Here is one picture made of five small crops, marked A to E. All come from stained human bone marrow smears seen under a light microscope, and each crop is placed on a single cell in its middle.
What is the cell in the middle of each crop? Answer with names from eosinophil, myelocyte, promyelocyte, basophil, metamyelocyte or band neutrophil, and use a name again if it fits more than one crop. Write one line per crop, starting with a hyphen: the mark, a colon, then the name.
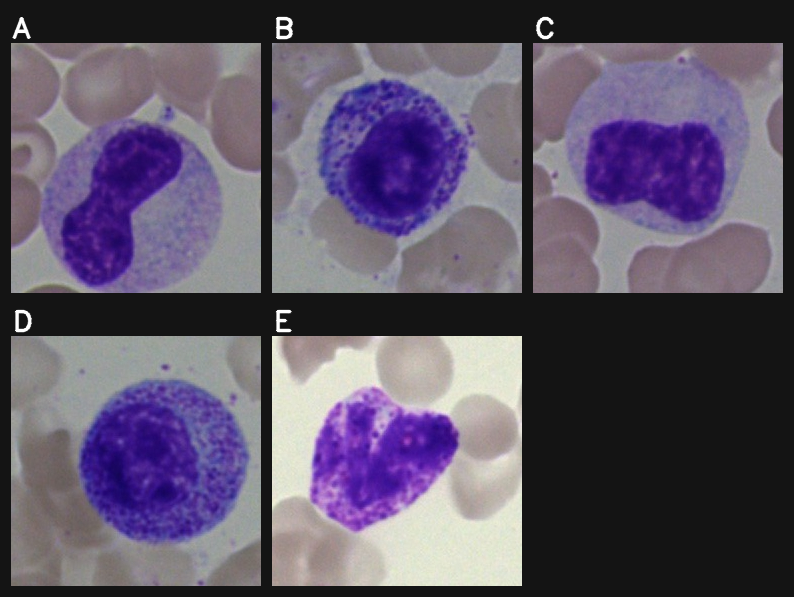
- A: band neutrophil
- B: myelocyte
- C: metamyelocyte
- D: myelocyte
- E: basophil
